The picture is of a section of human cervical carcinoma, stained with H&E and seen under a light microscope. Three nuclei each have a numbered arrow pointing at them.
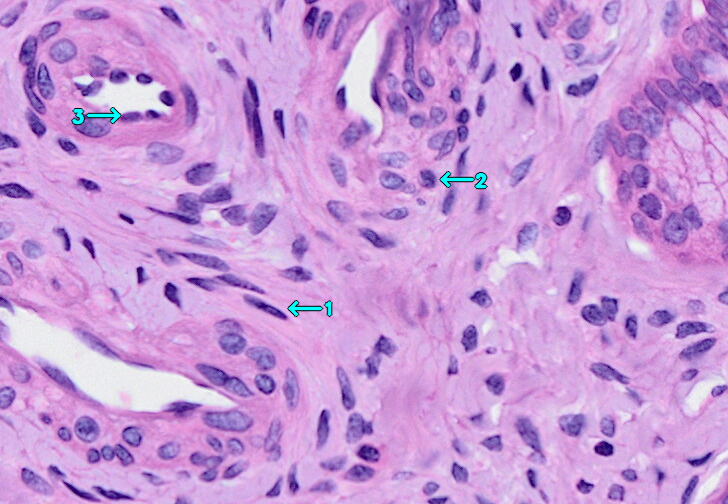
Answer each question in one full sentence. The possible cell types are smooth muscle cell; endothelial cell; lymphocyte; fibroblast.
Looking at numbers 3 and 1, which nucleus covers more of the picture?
It is nucleus 1, which covers about 2.5 times the area of nucleus 3.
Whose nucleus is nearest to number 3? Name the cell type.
It is an endothelial cell whose nucleus is nearest to number 3.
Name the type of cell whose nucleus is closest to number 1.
Closest to number 1 lies the nucleus of a fibroblast.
